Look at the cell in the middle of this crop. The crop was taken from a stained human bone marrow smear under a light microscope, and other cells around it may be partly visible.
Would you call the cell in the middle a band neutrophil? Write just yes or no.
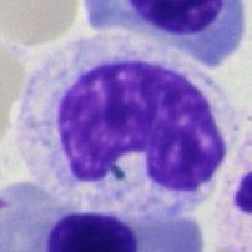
yes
